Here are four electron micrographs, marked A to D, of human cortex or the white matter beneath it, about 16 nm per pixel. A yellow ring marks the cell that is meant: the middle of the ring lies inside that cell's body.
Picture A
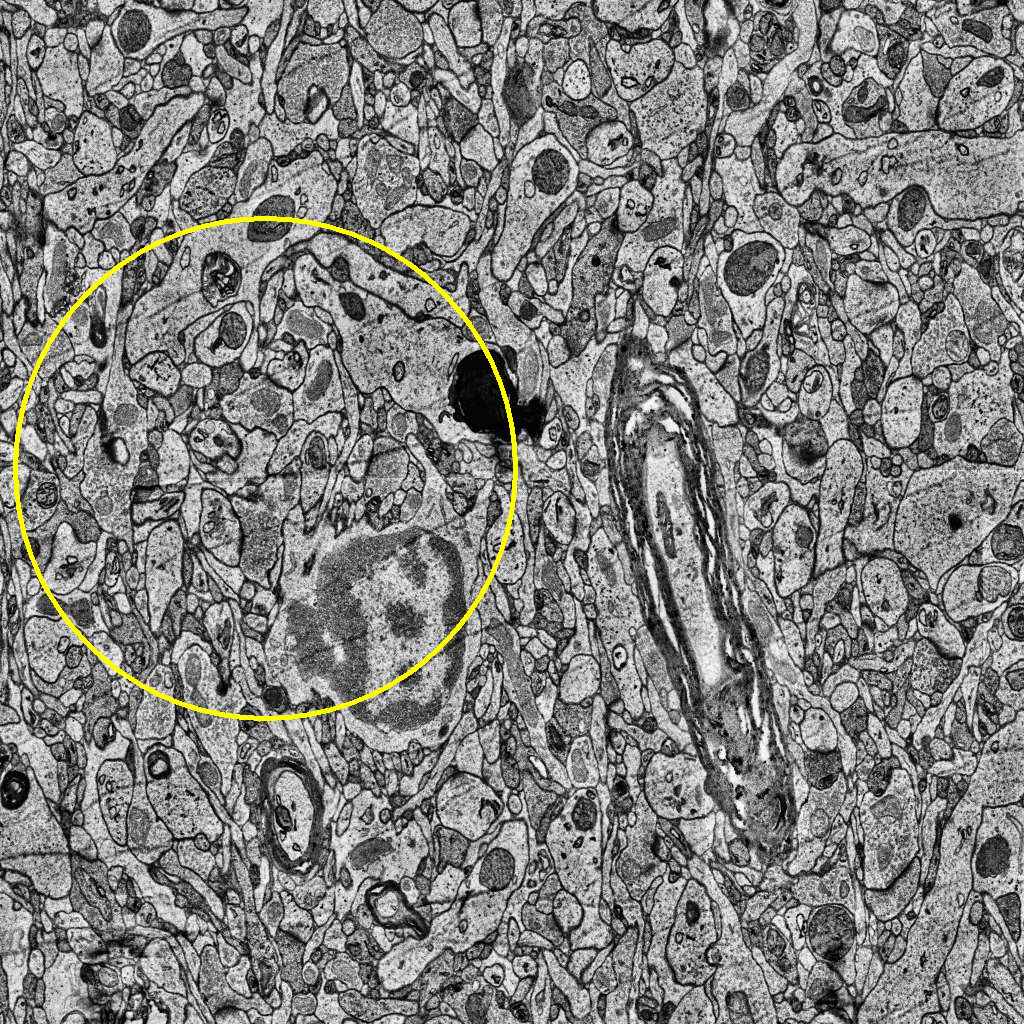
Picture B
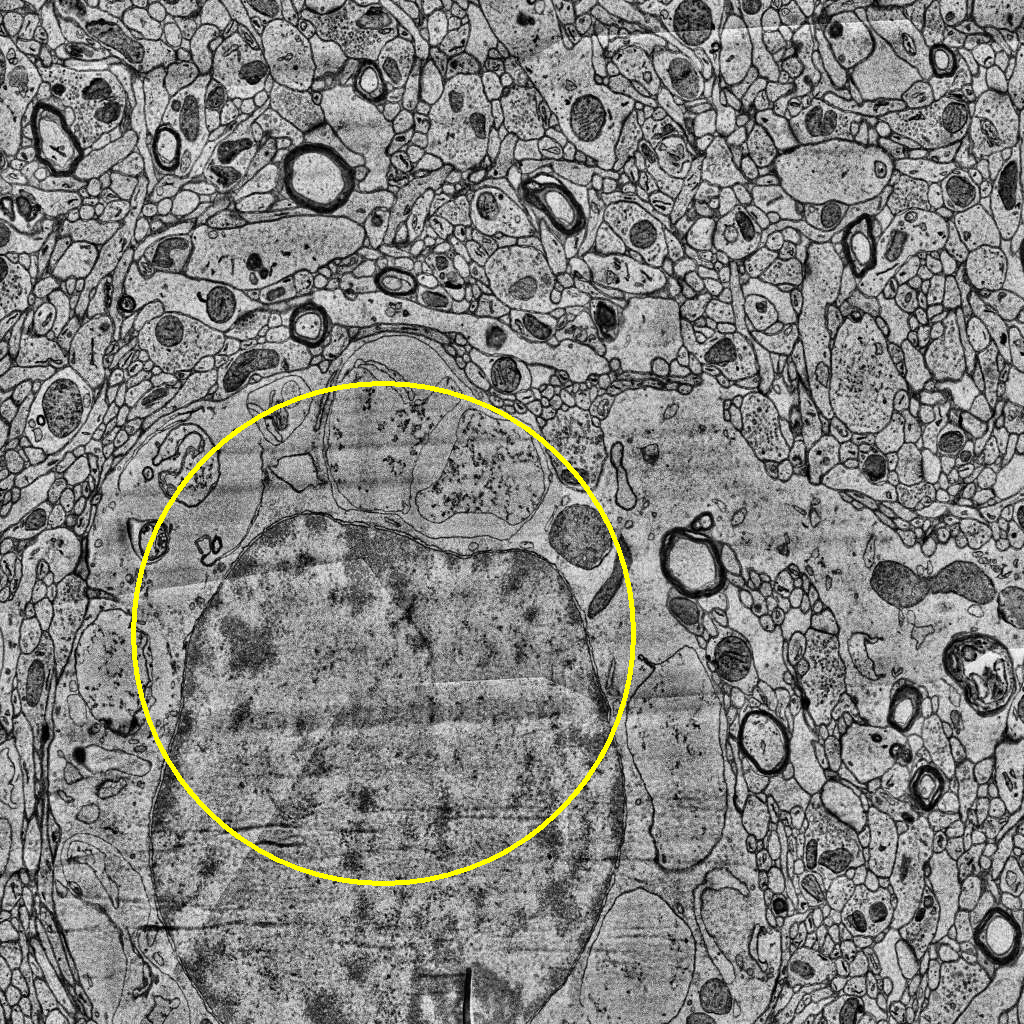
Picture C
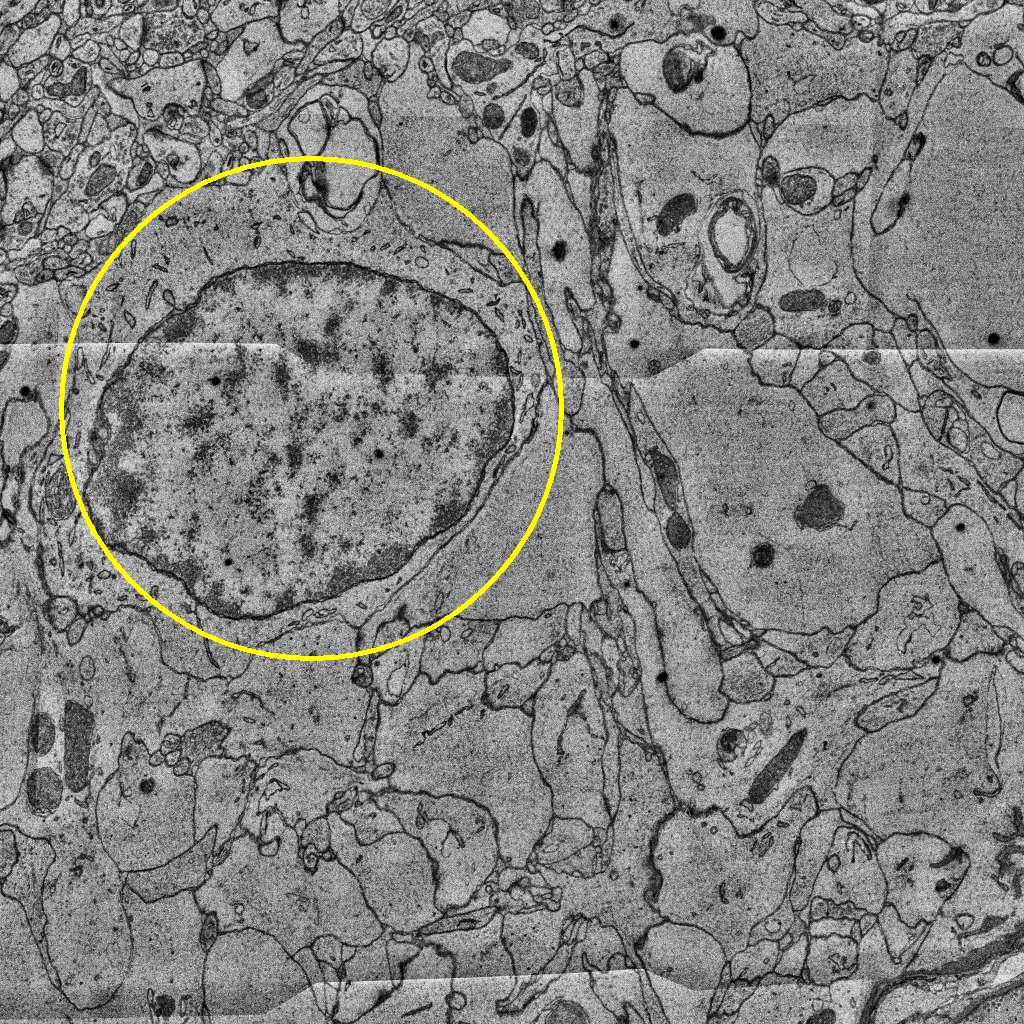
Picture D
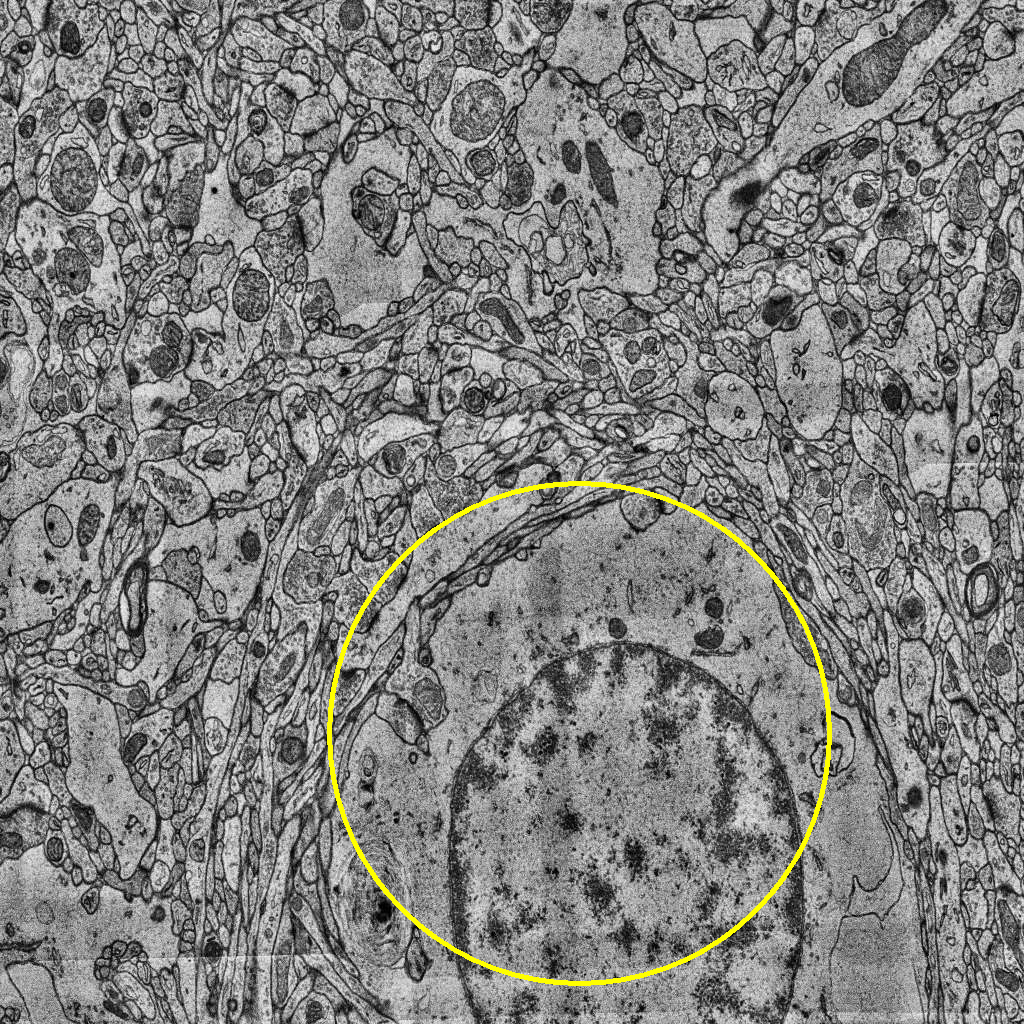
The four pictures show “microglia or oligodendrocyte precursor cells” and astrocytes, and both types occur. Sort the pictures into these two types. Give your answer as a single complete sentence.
Pictures A and C show “microglia or oligodendrocyte precursor cells”, while pictures B and D show astrocytes.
